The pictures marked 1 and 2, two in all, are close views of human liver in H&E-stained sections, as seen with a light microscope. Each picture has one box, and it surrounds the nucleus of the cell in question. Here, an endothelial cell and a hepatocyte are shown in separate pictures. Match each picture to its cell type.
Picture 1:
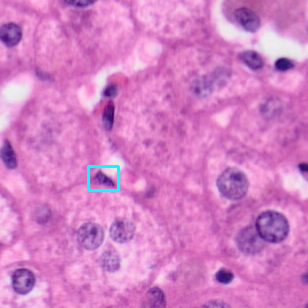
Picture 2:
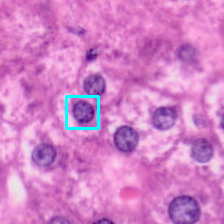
1: endothelial cell
2: hepatocyte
